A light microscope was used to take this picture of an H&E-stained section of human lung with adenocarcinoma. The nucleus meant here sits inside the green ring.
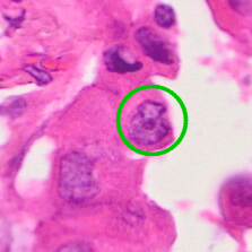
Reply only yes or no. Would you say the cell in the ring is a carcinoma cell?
yes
